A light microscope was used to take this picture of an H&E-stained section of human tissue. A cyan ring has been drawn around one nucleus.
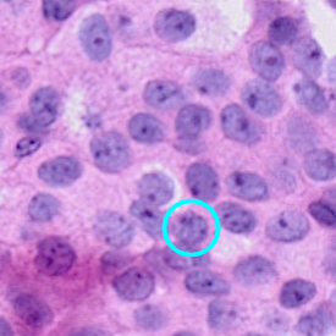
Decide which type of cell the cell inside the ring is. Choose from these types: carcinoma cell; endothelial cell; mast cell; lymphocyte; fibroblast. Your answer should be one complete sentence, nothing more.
In the tissue under study, the cell inside the ring is a carcinoma cell.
